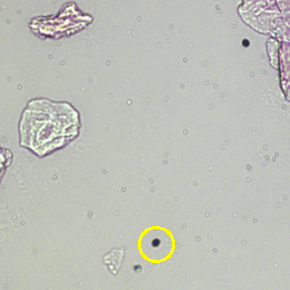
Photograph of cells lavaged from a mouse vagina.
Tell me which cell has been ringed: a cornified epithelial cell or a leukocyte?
It is a leukocyte.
